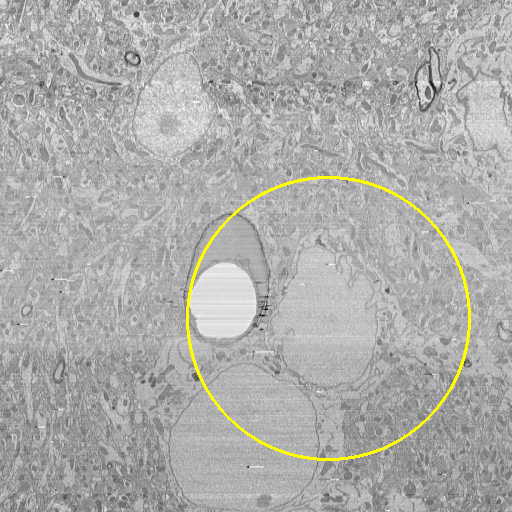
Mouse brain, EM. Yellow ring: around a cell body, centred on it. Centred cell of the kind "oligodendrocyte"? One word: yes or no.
no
